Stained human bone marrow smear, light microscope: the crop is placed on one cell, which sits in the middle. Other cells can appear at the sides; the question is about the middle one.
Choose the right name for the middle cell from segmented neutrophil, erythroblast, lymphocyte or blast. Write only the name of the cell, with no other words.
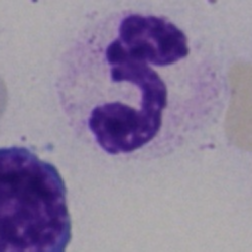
segmented neutrophil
